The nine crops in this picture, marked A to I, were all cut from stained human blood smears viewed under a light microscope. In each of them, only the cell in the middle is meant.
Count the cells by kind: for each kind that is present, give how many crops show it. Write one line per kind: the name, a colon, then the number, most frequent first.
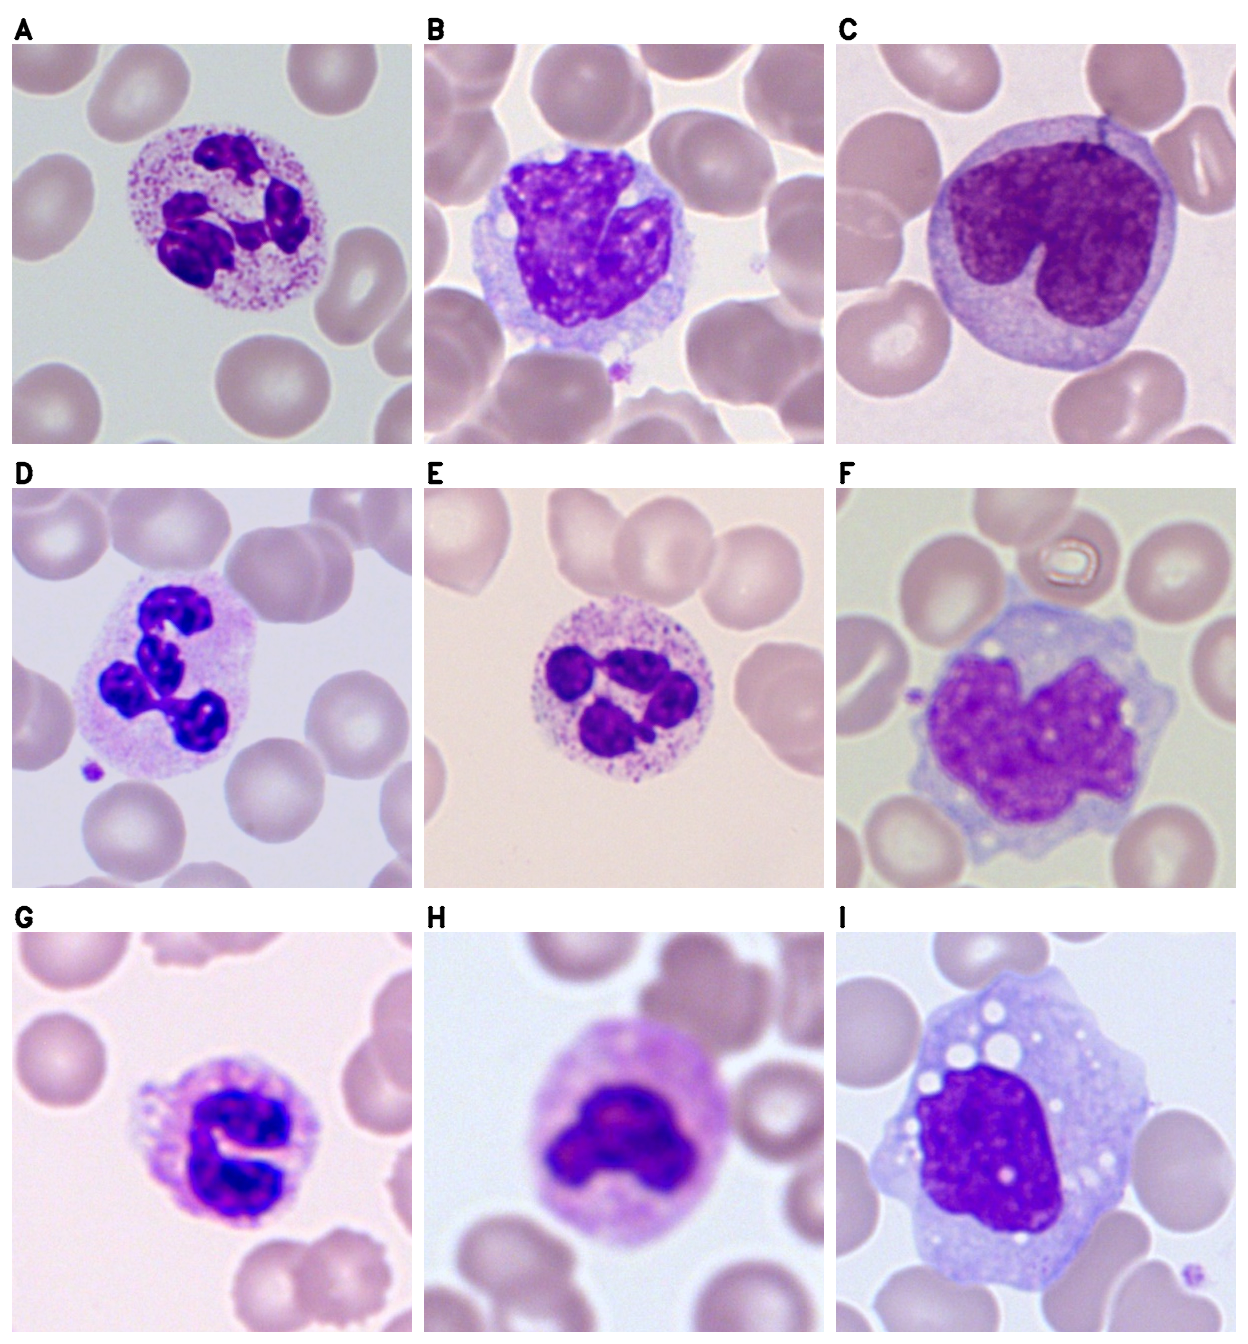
segmented neutrophil: 5
monocyte: 4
